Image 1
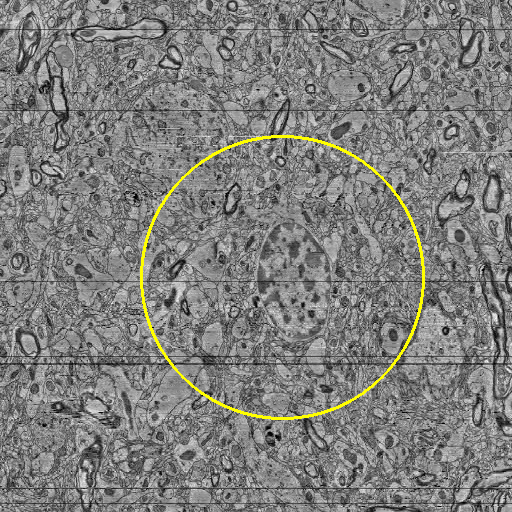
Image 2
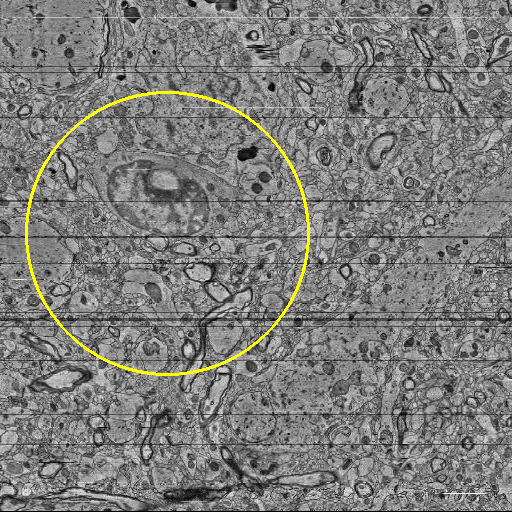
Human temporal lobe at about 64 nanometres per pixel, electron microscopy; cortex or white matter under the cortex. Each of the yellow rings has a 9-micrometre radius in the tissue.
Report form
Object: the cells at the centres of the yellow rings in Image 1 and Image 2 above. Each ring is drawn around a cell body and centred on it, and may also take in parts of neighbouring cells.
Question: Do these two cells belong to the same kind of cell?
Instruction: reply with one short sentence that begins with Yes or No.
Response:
No, they belong to two kinds of cell.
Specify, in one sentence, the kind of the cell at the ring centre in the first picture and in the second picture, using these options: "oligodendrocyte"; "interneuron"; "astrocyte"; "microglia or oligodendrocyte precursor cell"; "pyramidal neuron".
So the first is a microglial cell or oligodendrocyte precursor cell, the second an oligodendrocyte.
